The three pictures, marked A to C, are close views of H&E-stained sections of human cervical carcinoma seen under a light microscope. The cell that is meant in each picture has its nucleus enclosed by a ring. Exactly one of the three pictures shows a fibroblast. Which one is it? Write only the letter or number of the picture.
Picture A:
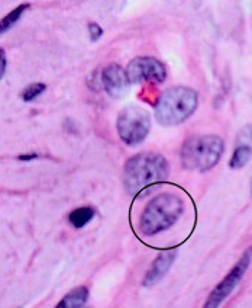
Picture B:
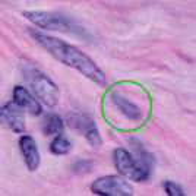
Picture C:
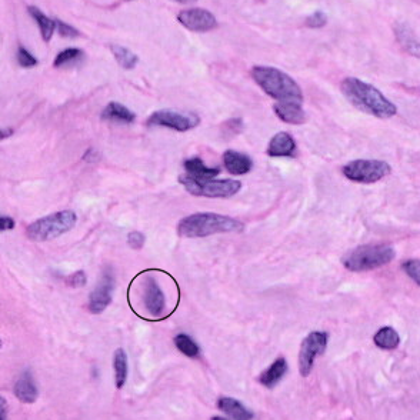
C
